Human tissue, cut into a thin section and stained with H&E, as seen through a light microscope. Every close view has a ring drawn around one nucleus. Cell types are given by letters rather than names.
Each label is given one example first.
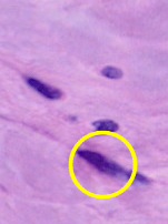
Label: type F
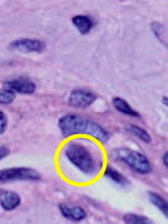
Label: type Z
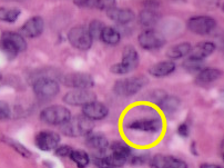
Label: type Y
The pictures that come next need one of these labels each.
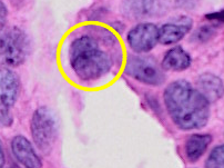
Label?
type Y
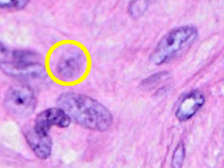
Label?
type F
